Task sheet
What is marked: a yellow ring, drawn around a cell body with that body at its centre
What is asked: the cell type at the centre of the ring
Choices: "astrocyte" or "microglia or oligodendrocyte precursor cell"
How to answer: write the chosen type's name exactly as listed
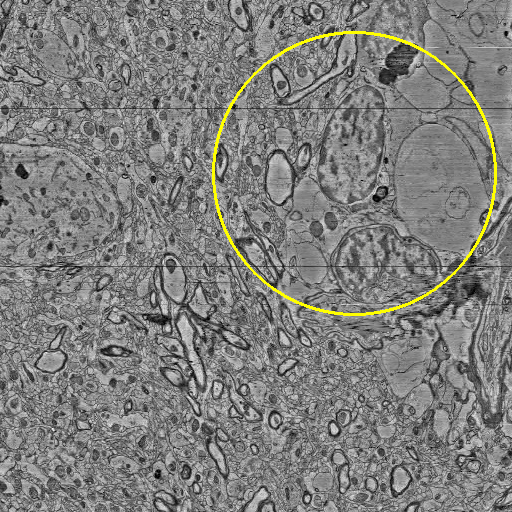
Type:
microglia or oligodendrocyte precursor cell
